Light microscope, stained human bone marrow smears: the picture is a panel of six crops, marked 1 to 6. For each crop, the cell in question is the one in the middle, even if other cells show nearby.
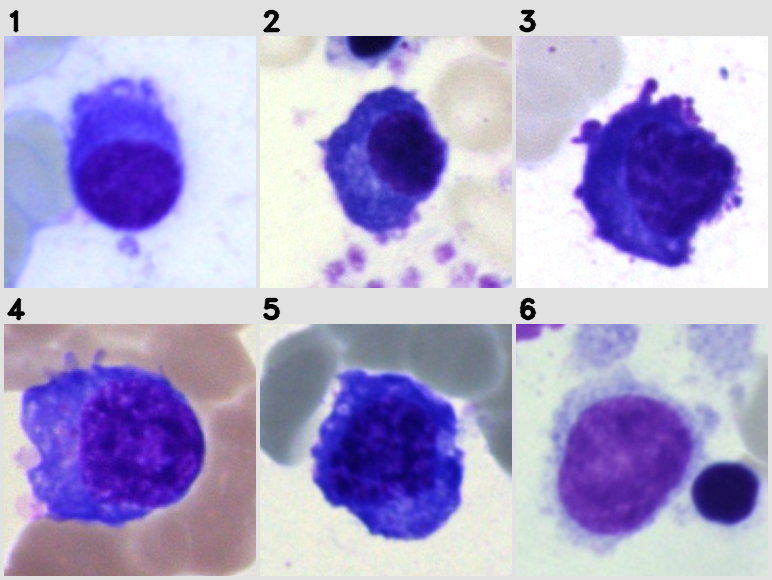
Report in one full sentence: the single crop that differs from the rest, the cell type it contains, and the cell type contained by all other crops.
Here the outlier is crop 6, which is a hairy cell, and the rest are plasma cells.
